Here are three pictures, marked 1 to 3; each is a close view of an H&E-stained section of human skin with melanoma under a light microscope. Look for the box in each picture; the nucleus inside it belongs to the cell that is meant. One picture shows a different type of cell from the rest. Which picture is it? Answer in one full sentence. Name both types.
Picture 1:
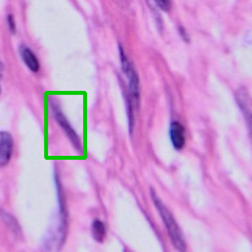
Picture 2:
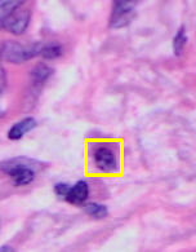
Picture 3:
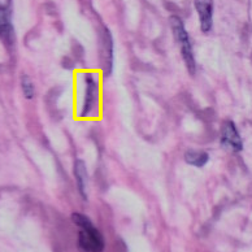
Picture 2 is the odd one out: it shows a plasma cell, while the others show “fibroblasts or myofibroblasts”.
